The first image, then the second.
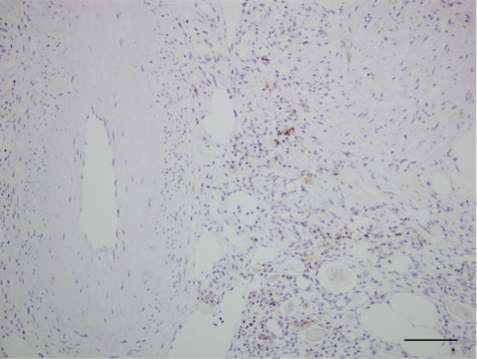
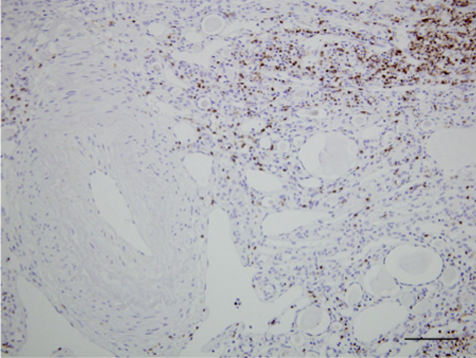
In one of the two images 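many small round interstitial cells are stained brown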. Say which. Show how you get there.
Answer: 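The second image. First image: only a few faint brown cells are scattered in the interstitium. Second image: dense clusters of brown small round cells fill the upper right.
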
